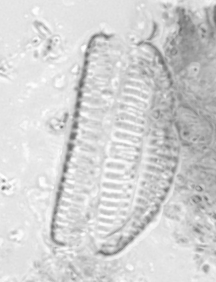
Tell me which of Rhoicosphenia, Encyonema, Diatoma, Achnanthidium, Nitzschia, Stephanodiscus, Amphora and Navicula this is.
The picture shows Encyonema.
